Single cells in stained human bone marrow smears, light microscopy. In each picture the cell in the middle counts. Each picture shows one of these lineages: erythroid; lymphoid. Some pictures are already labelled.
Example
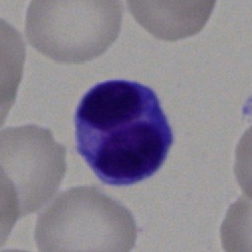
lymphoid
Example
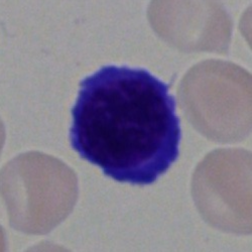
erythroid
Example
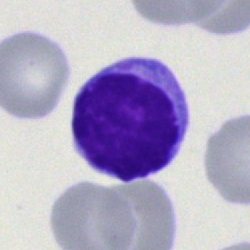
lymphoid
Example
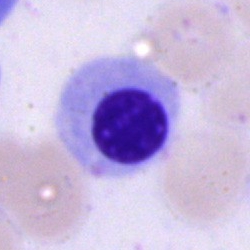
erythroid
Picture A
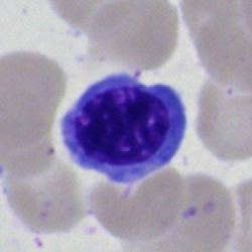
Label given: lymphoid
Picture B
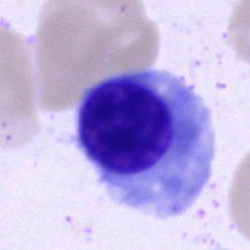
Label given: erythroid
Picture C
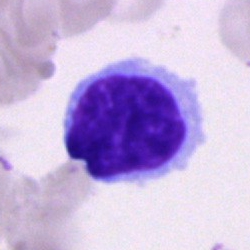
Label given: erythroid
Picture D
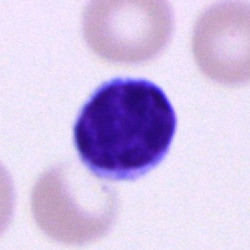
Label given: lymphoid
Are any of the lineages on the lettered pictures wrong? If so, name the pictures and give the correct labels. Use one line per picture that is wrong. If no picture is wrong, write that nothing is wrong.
A is labelled lymphoid; correct label: erythroid
C is labelled erythroid; correct label: lymphoid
